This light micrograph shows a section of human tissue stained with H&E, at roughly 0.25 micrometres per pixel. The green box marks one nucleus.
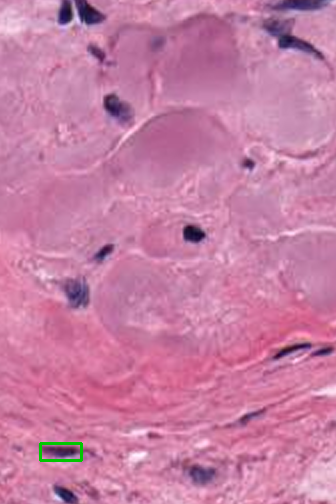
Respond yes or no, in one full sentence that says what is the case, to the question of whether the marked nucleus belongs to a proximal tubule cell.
No, the marked nucleus resides in a supporting cell, not in a proximal tubule cell.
